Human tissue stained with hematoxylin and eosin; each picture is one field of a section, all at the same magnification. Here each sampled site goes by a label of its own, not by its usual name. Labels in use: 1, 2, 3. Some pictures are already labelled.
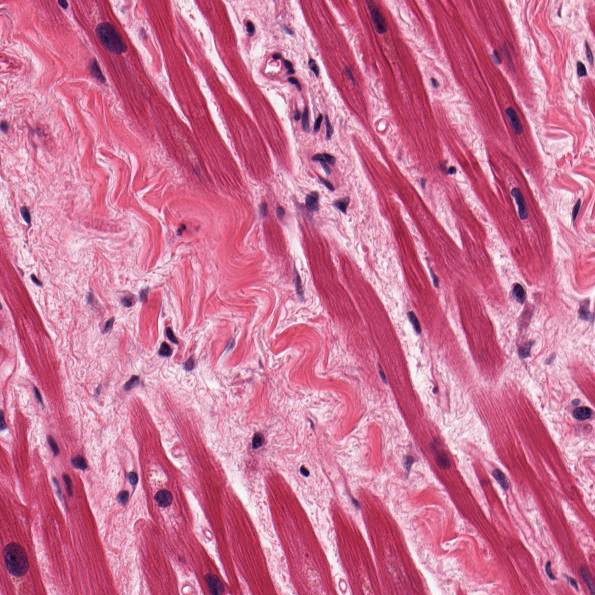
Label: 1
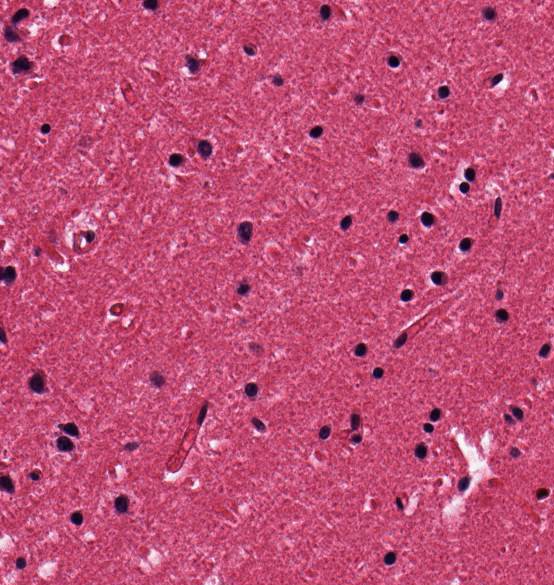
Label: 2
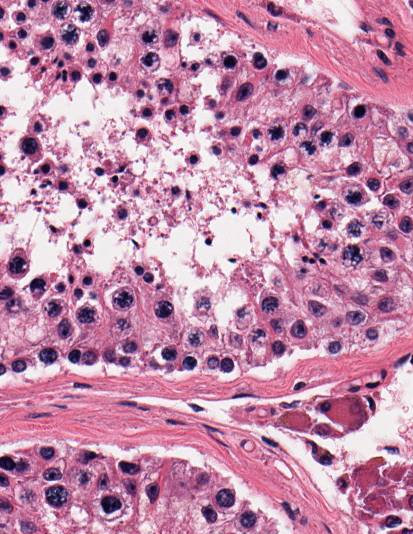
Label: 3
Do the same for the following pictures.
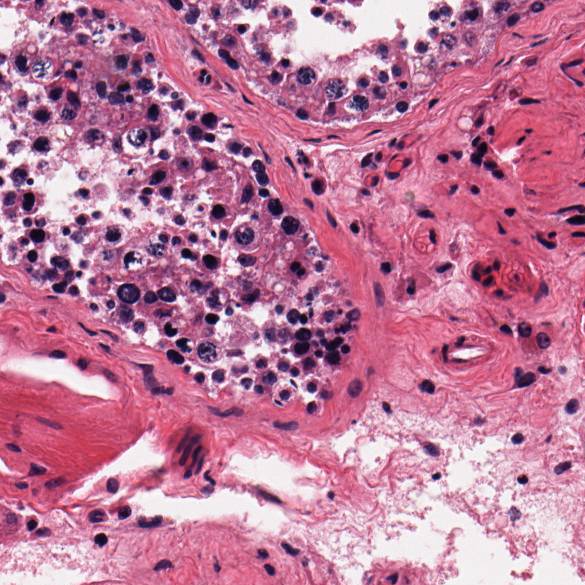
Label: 3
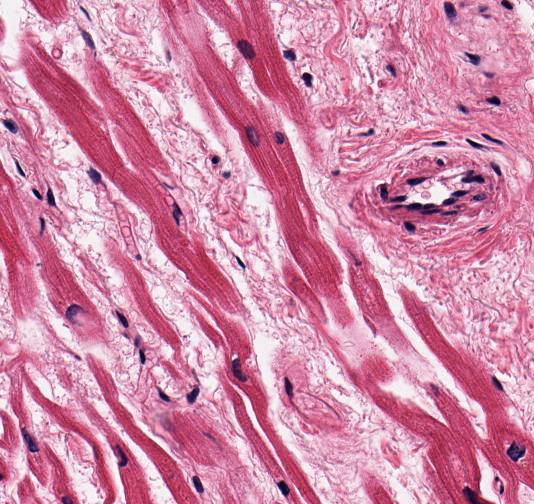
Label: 1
